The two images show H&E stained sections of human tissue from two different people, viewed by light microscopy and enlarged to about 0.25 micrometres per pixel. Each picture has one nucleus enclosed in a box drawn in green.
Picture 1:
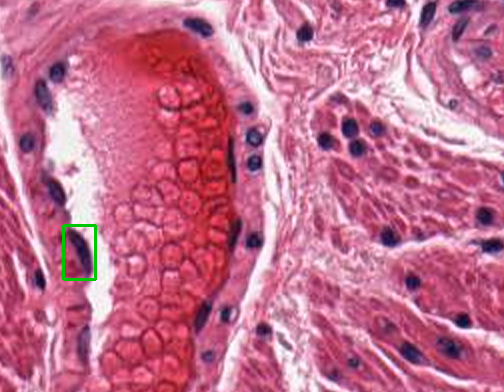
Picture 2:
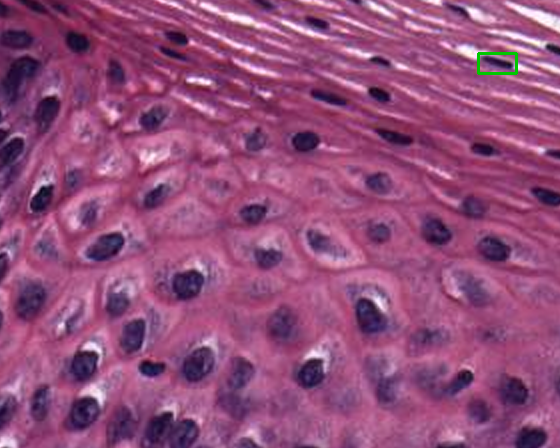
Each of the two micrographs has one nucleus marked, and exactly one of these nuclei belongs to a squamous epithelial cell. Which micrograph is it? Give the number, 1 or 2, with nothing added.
2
